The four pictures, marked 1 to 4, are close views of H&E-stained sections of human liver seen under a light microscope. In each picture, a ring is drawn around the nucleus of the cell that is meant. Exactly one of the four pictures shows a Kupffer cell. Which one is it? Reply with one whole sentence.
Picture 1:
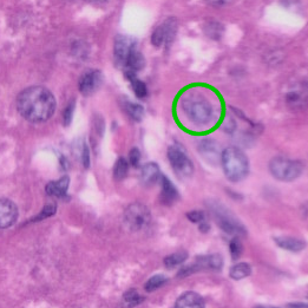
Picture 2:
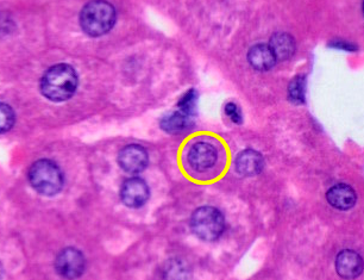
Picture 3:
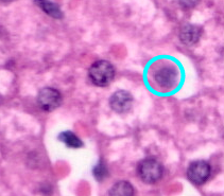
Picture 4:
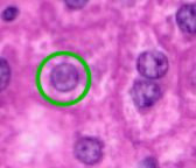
The Kupffer cell is the one in picture 3.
